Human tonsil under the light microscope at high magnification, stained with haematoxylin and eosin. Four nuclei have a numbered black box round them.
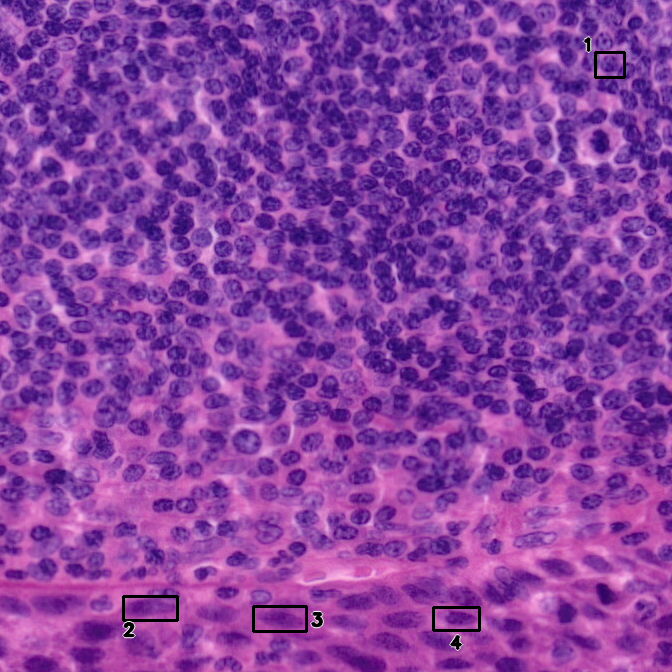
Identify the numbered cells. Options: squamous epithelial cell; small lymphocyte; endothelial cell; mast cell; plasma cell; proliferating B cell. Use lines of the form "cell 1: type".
cell 1: small lymphocyte
cell 2: squamous epithelial cell
cell 3: squamous epithelial cell
cell 4: squamous epithelial cell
